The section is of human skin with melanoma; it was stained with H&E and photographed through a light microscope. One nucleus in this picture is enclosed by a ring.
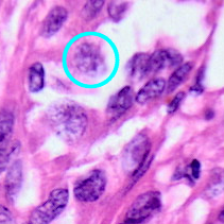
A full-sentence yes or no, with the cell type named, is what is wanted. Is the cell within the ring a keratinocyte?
No, the cell within the ring is recorded as a melanoma cell instead of a keratinocyte.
